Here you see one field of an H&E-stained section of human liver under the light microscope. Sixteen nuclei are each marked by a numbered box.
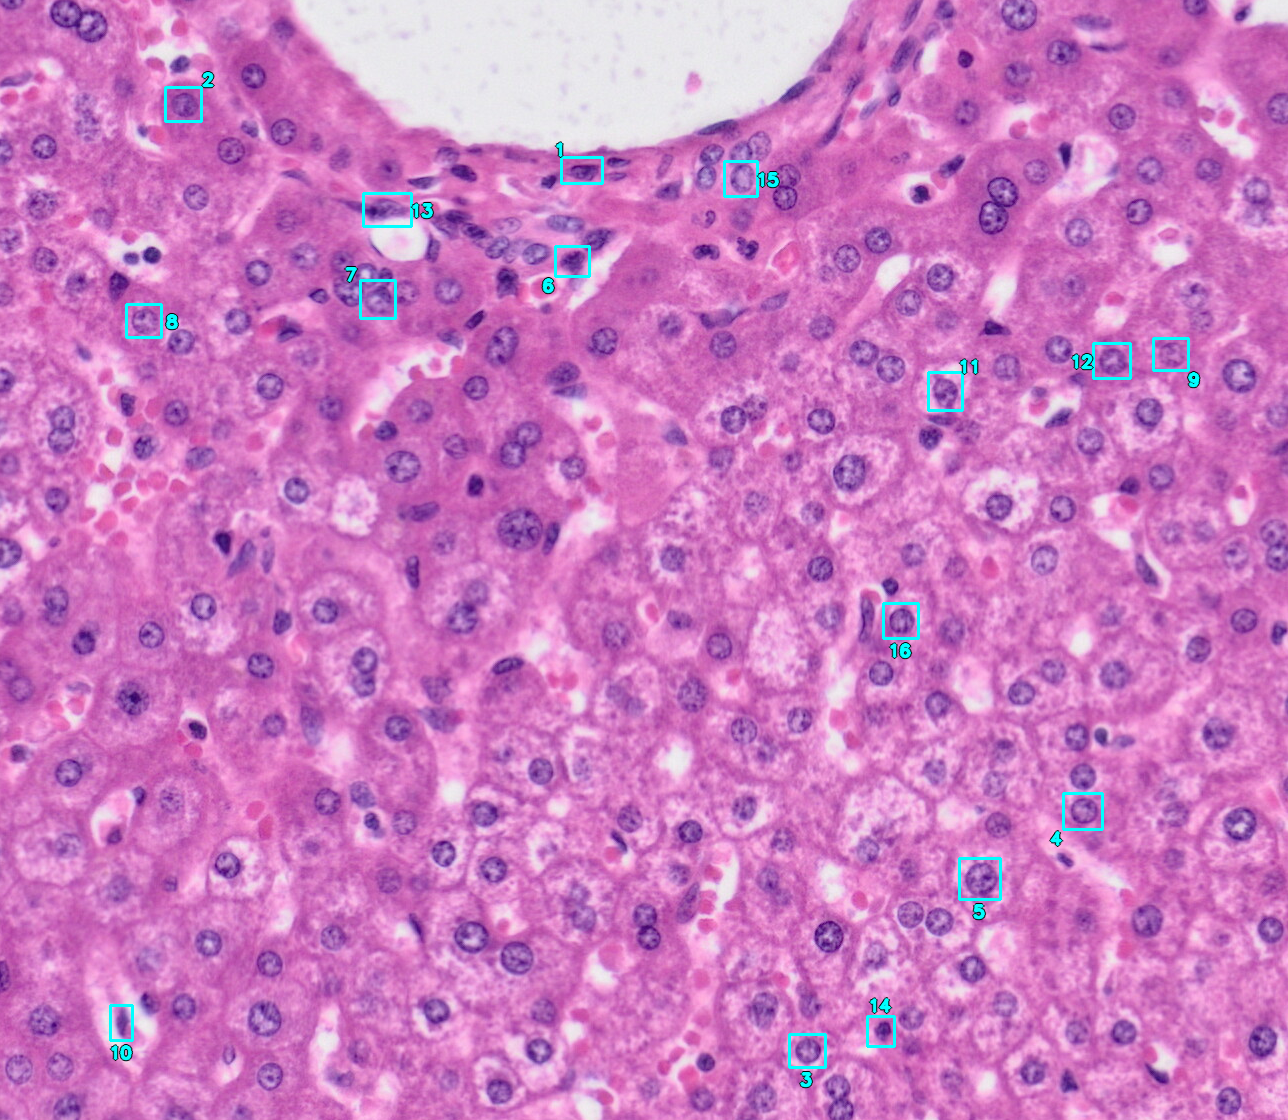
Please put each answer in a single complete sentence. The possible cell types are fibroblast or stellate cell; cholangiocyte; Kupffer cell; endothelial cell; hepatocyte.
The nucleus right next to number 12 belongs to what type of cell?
The cell nearest to number 12 is a fibroblast or stellate cell.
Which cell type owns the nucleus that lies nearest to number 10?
Closest to number 10 lies the nucleus of an endothelial cell.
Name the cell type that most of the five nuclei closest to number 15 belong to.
Of the five nuclei nearest to number 15, most belong to cholangiocytes.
